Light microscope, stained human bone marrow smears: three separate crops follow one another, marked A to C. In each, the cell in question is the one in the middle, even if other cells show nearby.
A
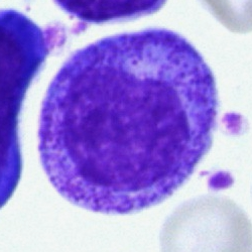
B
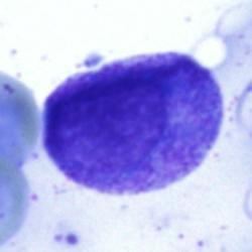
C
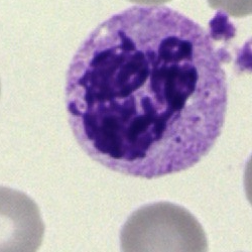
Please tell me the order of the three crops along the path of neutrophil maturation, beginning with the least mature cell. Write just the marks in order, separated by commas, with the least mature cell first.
B, A, C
